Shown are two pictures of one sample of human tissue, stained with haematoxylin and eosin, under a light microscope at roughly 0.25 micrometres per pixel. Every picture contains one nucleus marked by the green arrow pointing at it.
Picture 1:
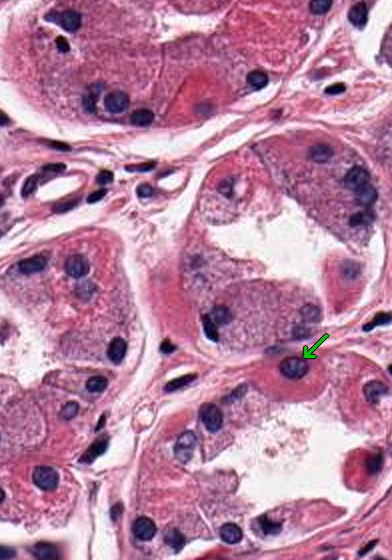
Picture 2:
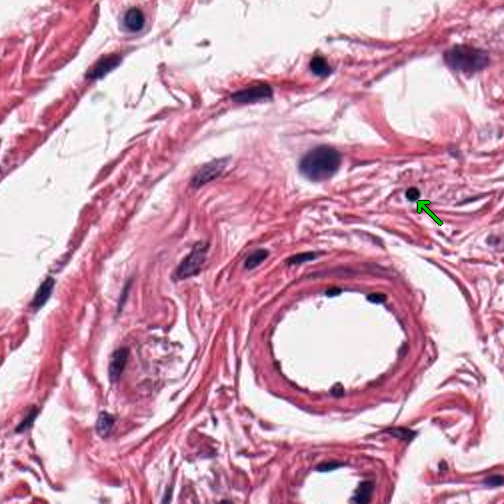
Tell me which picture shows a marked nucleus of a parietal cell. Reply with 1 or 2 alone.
1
